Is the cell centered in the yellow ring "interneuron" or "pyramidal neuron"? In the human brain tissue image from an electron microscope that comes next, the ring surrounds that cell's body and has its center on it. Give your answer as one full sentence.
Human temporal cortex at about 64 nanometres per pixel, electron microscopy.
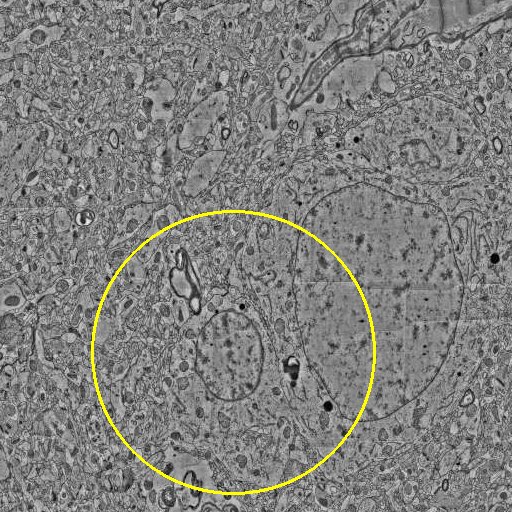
The cell at the center of the yellow ring is a pyramidal neuron in the micrograph.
